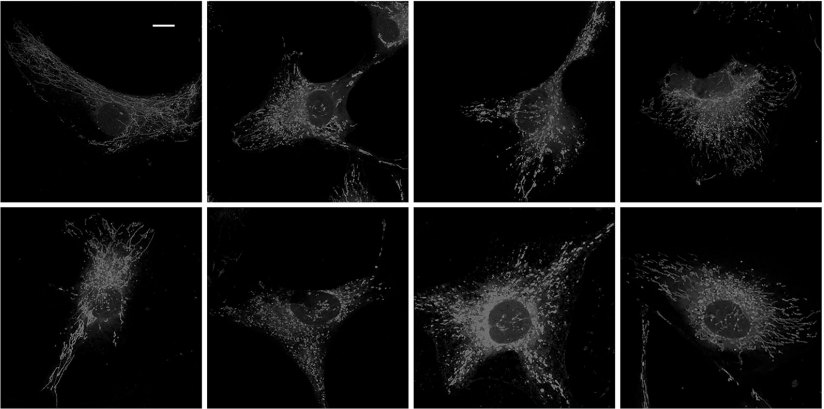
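This is a grid of eight grayscale fluorescence images. In some cells the mitochondria form long, thin, branched filaments reaching far toward the cell edges. In other cells they are broken up into short rods and small dots, mostly crowded around the nucleus. The cells differ in outline, and some have long tapering extensions.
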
